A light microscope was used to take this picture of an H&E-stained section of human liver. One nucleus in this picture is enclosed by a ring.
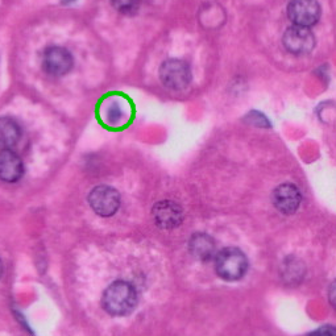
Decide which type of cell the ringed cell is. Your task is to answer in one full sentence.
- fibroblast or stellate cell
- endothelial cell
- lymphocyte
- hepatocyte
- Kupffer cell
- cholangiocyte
The classification of the ringed cell is as a lymphocyte.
